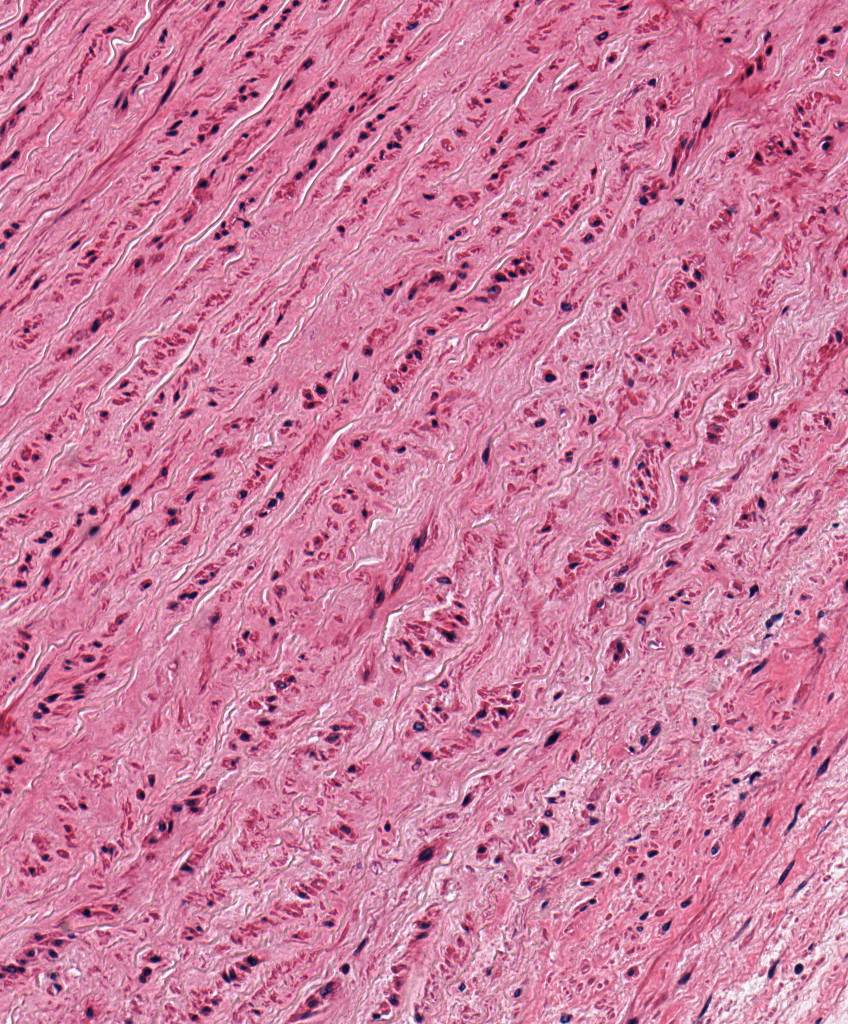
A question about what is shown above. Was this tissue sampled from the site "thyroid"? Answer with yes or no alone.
no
